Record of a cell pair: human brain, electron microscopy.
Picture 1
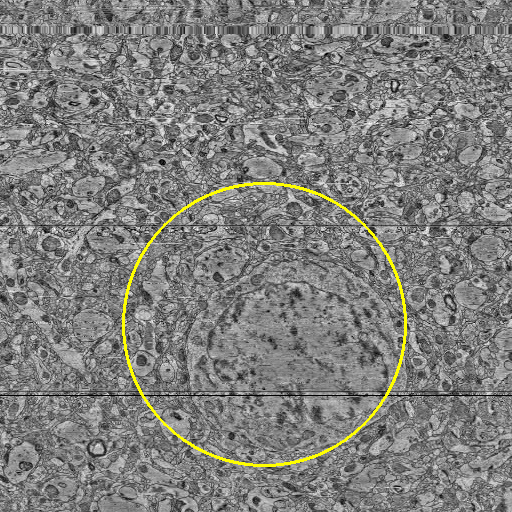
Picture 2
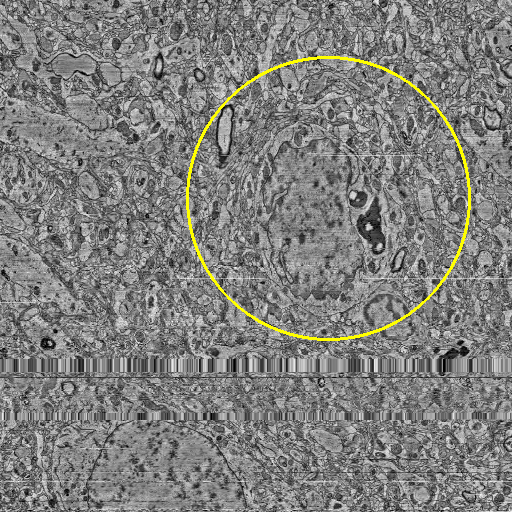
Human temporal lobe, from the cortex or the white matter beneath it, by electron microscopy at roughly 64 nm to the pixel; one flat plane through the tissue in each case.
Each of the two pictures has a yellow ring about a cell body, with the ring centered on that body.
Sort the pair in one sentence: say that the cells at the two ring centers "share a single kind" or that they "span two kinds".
The cells centered in the rings of Pictures 1 and 2 share a single kind.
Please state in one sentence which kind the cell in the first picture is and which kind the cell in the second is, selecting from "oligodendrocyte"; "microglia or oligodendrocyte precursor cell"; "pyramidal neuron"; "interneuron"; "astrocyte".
Each cell at the centre of a ring is an interneuron.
